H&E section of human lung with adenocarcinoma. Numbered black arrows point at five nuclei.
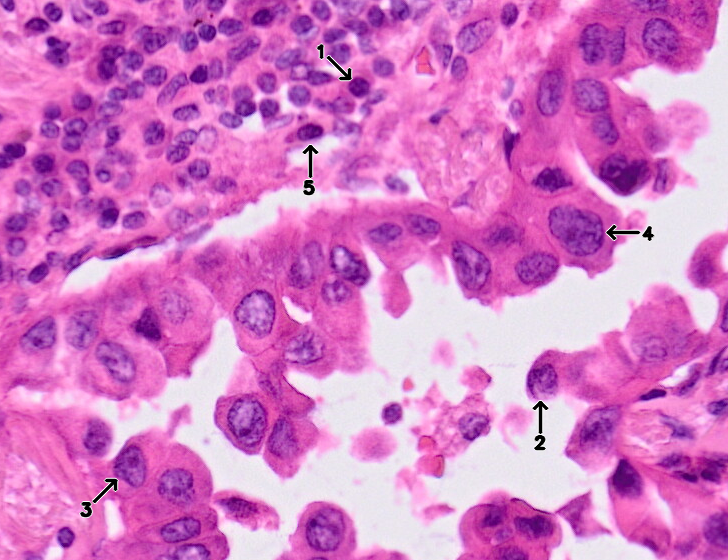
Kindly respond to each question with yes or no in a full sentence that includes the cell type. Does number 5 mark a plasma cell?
Yes, kindly take note: the cell numbered 5 is a plasma cell.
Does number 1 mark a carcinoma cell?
No, it is a plasma cell that is marked with number 1, not a carcinoma cell.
